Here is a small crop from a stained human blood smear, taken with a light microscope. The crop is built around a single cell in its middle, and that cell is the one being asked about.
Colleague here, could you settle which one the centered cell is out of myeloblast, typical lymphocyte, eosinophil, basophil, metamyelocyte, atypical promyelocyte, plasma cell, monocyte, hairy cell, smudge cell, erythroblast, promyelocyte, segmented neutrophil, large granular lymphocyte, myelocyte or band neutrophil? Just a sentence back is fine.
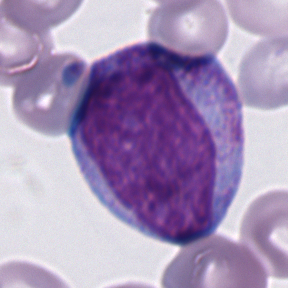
In the central position of this crop, the cell is a promyelocyte.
